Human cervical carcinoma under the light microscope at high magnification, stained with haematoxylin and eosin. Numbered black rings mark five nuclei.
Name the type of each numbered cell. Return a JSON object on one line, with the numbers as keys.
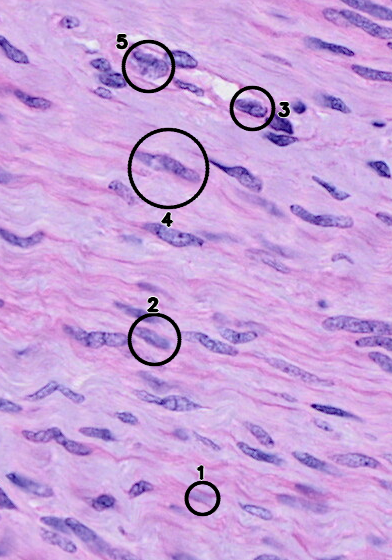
{"1": "smooth muscle cell", "2": "smooth muscle cell", "3": "endothelial cell", "4": "smooth muscle cell", "5": "endothelial cell"}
